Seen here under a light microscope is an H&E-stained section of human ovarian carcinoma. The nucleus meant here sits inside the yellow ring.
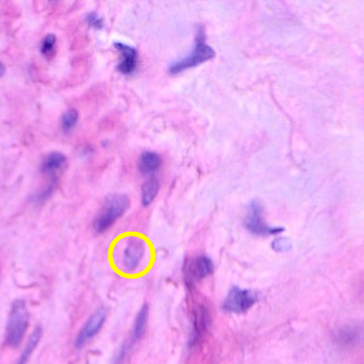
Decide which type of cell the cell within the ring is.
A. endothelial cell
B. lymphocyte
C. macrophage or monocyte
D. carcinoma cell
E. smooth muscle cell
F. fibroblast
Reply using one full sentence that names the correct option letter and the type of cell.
Option E gets it right, as the cell within the ring is a smooth muscle cell.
